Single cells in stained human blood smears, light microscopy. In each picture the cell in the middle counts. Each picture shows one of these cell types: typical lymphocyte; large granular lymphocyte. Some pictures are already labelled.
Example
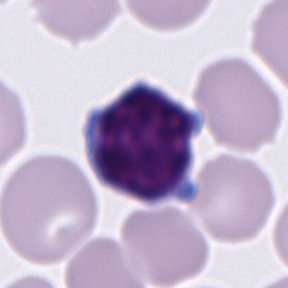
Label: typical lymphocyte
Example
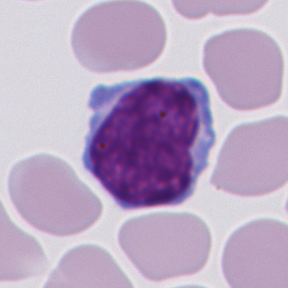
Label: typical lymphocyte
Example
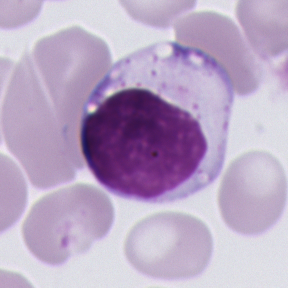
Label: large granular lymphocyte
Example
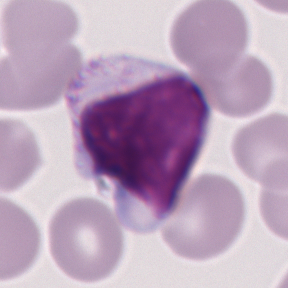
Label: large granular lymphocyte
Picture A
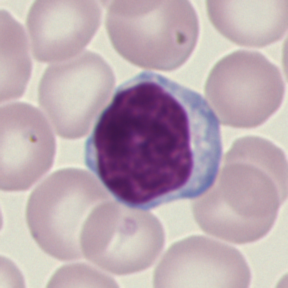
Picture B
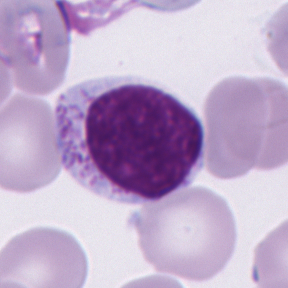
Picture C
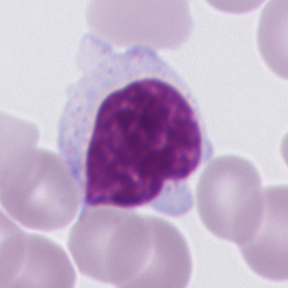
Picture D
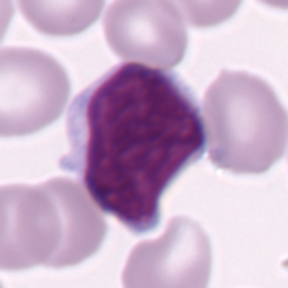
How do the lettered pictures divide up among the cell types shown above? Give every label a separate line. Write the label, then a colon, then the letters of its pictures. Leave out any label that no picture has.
typical lymphocyte: A, D
large granular lymphocyte: B, C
